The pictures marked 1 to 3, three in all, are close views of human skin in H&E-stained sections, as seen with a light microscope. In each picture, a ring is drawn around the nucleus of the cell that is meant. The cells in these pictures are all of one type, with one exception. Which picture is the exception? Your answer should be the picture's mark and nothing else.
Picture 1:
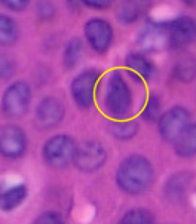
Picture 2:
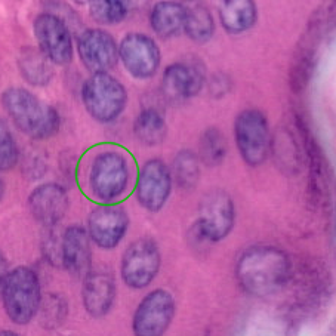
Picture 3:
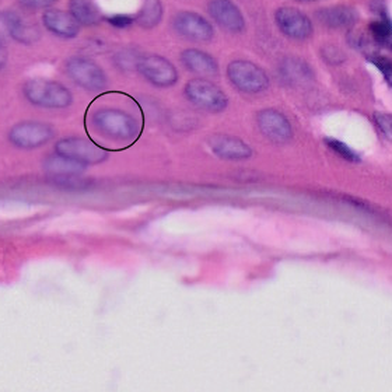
1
